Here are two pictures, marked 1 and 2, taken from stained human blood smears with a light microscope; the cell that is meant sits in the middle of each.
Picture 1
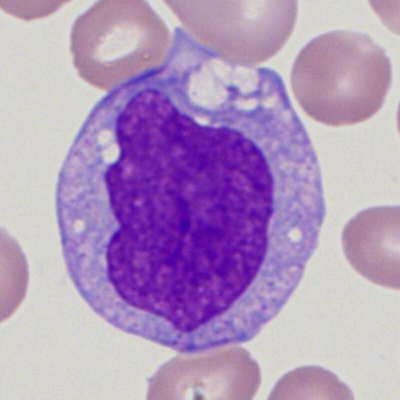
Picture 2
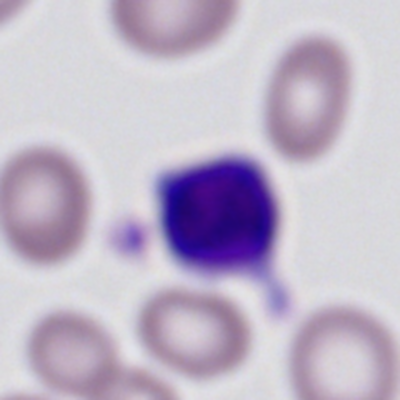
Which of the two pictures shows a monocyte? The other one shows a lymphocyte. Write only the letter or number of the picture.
1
